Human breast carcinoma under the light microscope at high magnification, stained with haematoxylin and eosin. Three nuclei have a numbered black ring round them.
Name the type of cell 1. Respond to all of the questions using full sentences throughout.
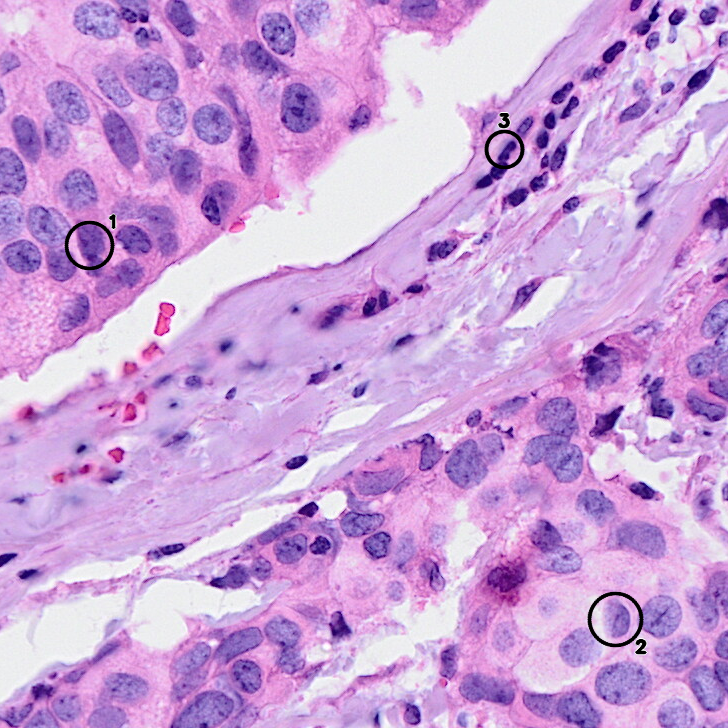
The cell indicated by marker 1 is a carcinoma cell in this section.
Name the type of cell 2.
The cell whose nucleus carries the number 2 is a carcinoma cell.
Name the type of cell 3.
The cell whose nucleus carries the number 3 is a lymphocyte.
